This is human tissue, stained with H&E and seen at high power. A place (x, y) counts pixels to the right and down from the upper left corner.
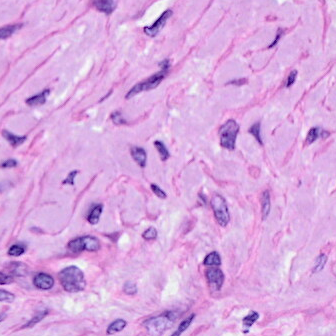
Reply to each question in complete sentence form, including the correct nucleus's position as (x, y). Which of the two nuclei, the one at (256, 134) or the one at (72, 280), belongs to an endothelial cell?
Identify the nucleus at (72, 280) as the one belonging to an endothelial cell.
